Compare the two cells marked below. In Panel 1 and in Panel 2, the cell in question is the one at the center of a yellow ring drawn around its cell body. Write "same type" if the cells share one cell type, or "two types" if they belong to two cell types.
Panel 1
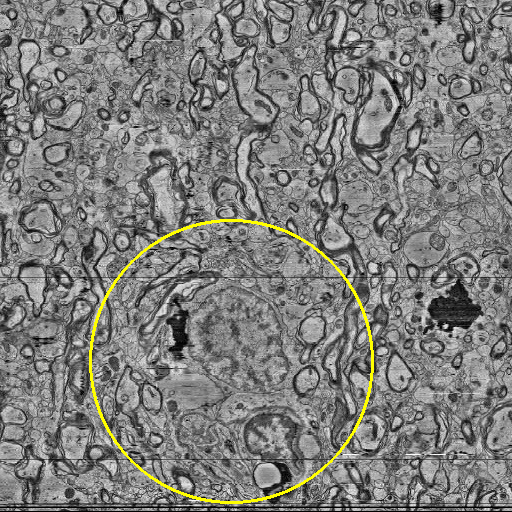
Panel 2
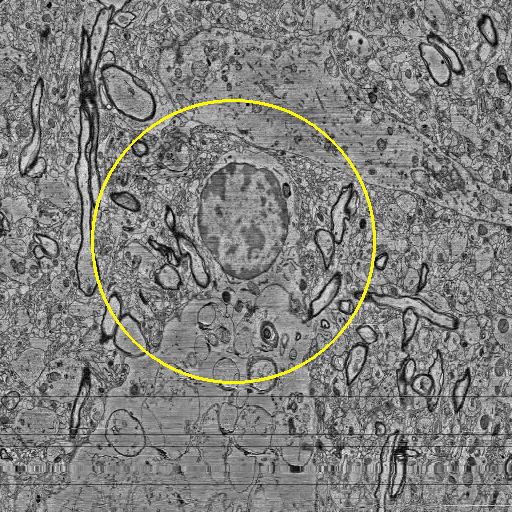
two types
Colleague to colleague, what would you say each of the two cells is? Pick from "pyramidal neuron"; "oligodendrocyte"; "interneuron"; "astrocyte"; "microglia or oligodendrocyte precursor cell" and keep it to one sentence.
The cell in the first picture is an oligodendrocyte; the second picture's cell is a microglial cell or oligodendrocyte precursor cell.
